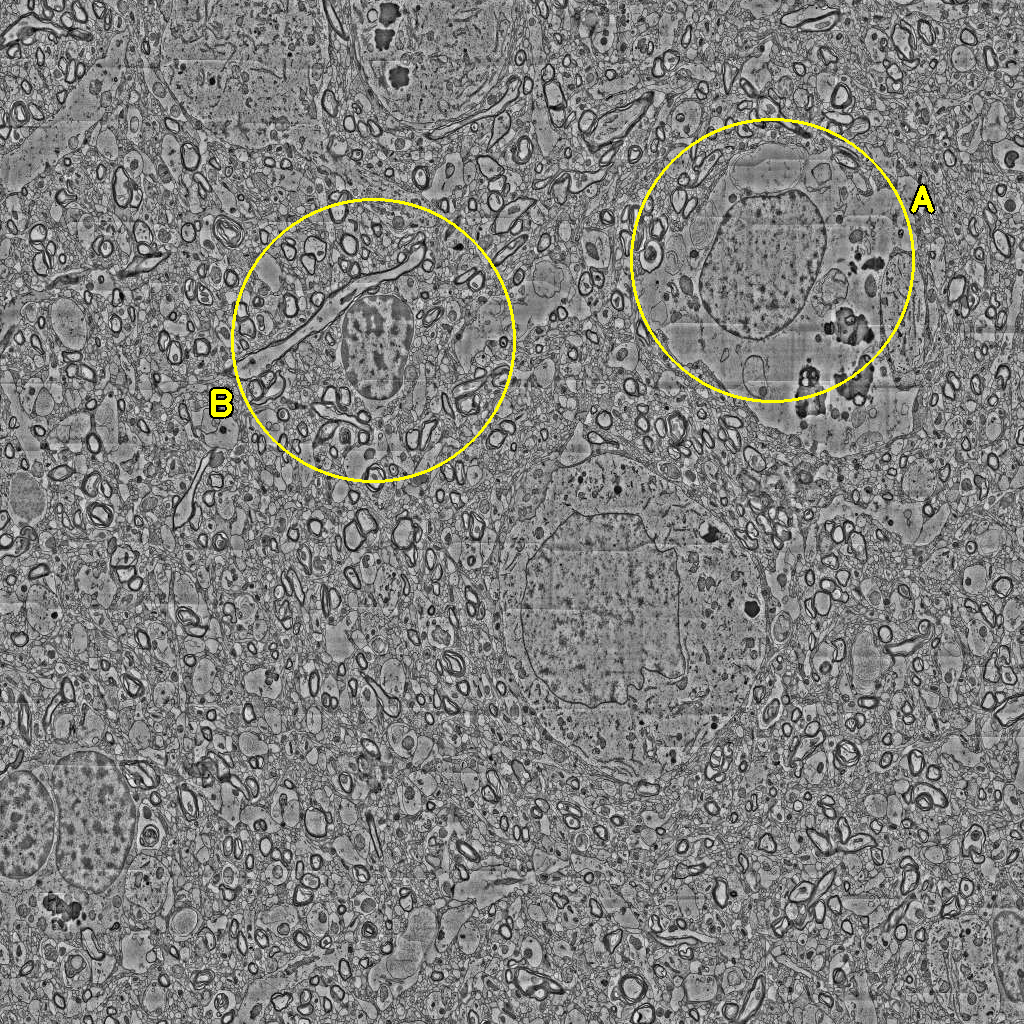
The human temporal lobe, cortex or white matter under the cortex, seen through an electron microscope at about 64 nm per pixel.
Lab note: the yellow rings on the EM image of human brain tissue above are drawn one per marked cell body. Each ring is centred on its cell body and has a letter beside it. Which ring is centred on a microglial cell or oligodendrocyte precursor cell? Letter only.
B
